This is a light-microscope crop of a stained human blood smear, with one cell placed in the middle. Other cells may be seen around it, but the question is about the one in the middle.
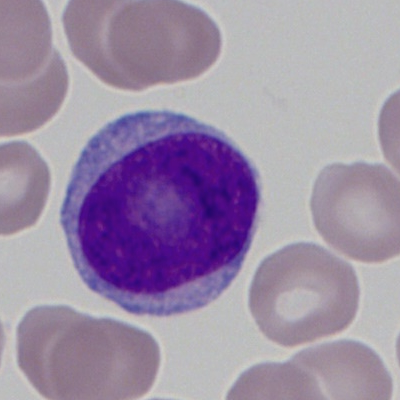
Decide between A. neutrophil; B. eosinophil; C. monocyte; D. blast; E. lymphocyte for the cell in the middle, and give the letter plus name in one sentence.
Answer key: option D, the middle cell being a blast.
